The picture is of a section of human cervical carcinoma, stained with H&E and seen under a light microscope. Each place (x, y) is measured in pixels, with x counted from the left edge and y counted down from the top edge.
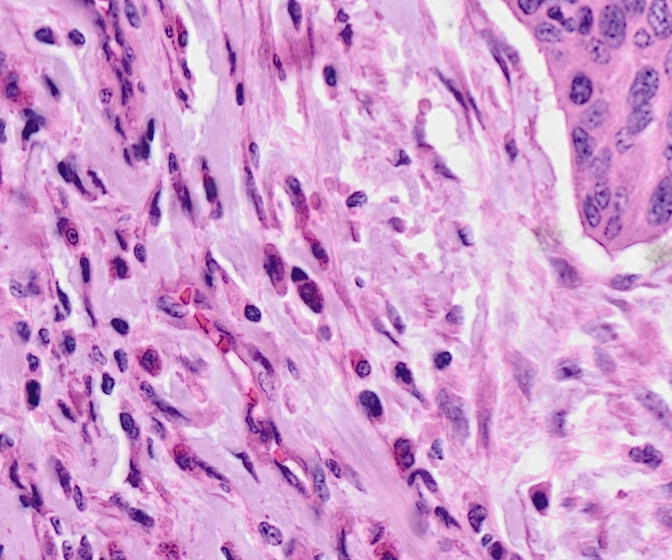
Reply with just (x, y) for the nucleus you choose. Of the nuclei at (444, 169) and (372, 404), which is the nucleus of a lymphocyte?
(372, 404)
